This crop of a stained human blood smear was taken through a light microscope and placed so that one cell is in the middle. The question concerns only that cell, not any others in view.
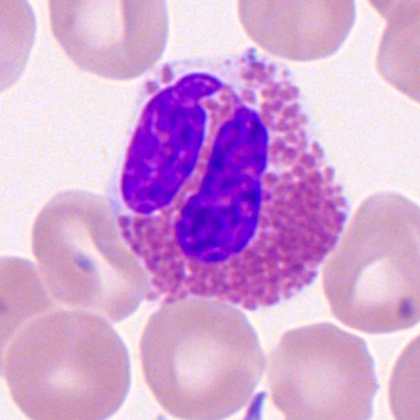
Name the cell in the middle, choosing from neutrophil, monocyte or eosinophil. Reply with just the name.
eosinophil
